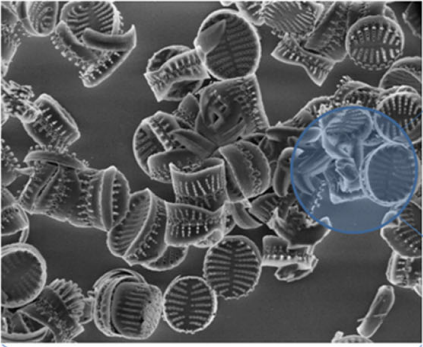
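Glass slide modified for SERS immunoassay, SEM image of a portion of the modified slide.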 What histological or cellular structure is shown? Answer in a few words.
Diatom frustules.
